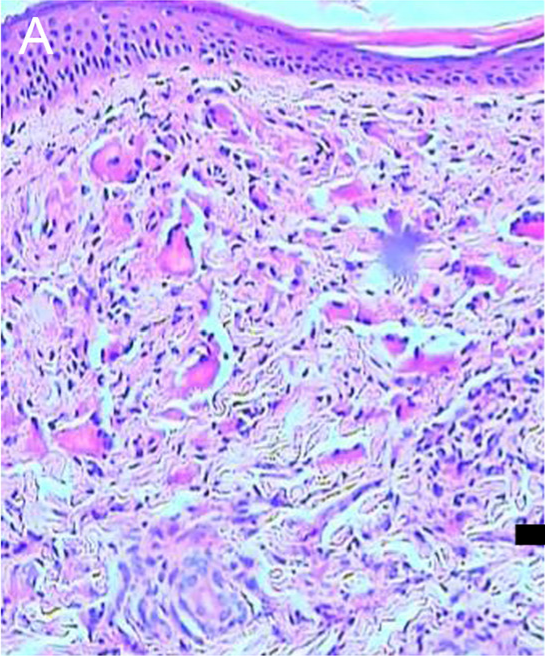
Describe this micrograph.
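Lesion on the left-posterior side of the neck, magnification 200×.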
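Skin with a thin epidermis and a cellular upper dermis. Below, the dermis holds many scattered cells with small dark nuclei lying among wavy pink collagen bundles. Numerous large, deeply pink cells with several nuclei are strewn through the upper and middle dermis, some in small groups. Clear slits separate the fibre bundles. A rounded structure near the lower border may be a vessel or appendage.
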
